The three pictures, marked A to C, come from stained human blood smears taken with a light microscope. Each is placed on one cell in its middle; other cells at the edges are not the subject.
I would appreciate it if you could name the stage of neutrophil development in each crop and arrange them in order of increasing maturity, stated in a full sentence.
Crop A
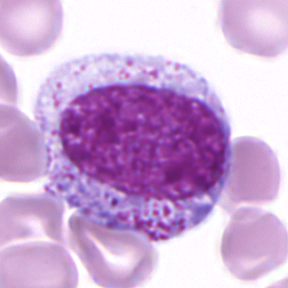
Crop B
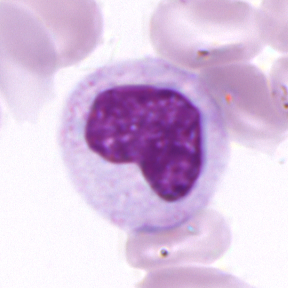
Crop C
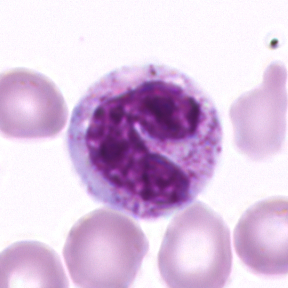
In maturational order, earliest to latest, the sequence is crop A (a promyelocyte), crop B (a metamyelocyte) and crop C (a band neutrophil).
